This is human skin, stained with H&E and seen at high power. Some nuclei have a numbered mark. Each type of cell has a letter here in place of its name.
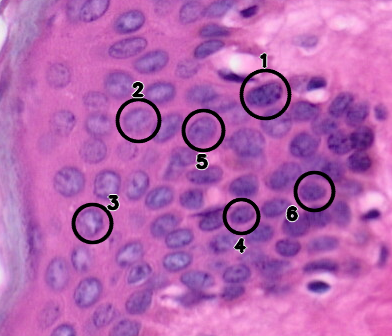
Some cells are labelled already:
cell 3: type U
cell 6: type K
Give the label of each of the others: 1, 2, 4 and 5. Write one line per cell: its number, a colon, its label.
1: type K
2: type U
4: type K
5: type U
